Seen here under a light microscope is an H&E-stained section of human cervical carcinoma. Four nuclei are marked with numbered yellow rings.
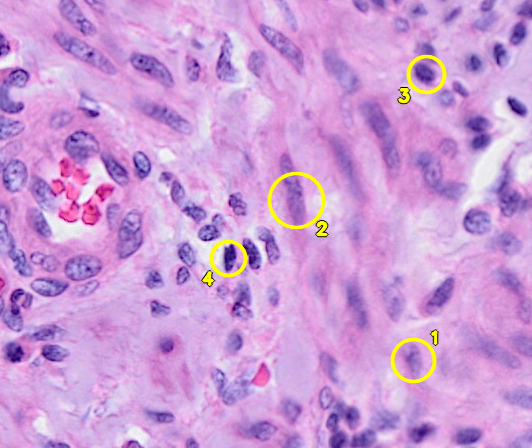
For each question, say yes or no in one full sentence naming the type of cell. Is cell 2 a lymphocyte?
No, cell 2 is classified as a smooth muscle cell rather than a lymphocyte.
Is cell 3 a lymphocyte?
Yes, among the marked cells, the one with number 3 is a lymphocyte.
